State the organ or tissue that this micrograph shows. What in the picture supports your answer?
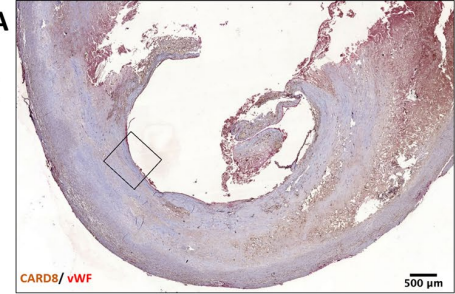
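Atherosclerotic plaque. A cross-section of a vessel wall with a greatly thickened, eccentric inner layer.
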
